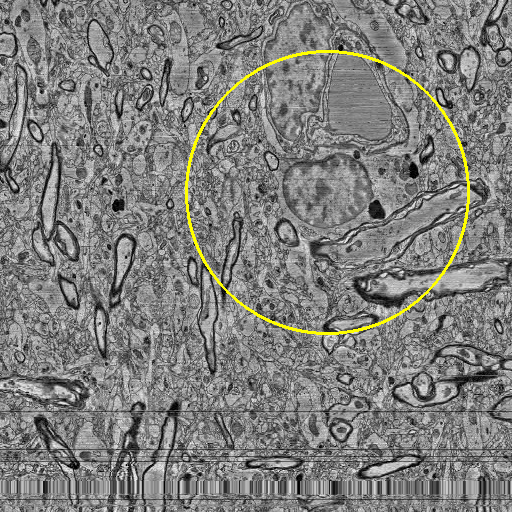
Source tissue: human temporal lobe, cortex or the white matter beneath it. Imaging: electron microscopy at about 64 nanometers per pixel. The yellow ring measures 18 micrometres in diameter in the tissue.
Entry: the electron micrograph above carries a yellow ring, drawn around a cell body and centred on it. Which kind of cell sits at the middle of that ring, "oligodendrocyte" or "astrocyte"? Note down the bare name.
oligodendrocyte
